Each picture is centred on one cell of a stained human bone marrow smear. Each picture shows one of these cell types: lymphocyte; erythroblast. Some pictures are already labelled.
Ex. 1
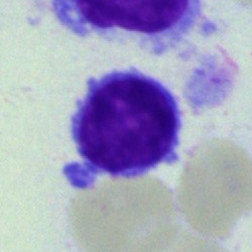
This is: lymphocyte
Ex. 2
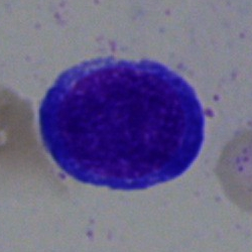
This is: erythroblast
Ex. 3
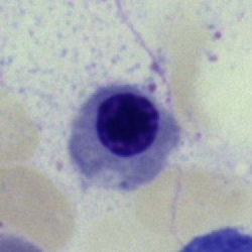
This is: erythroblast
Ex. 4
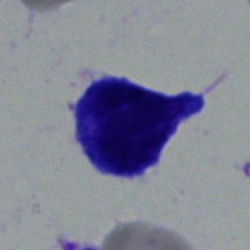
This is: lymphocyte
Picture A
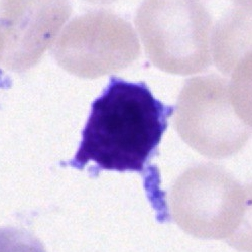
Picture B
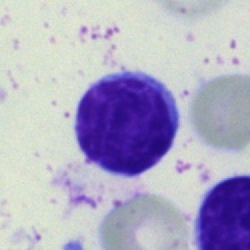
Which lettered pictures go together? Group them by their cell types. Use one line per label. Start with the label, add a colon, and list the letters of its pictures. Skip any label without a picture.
lymphocyte: A, B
